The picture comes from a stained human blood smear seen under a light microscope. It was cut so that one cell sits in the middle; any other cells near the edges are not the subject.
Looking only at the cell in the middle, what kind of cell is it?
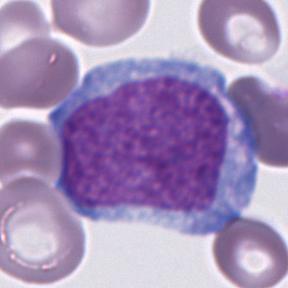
promyelocyte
